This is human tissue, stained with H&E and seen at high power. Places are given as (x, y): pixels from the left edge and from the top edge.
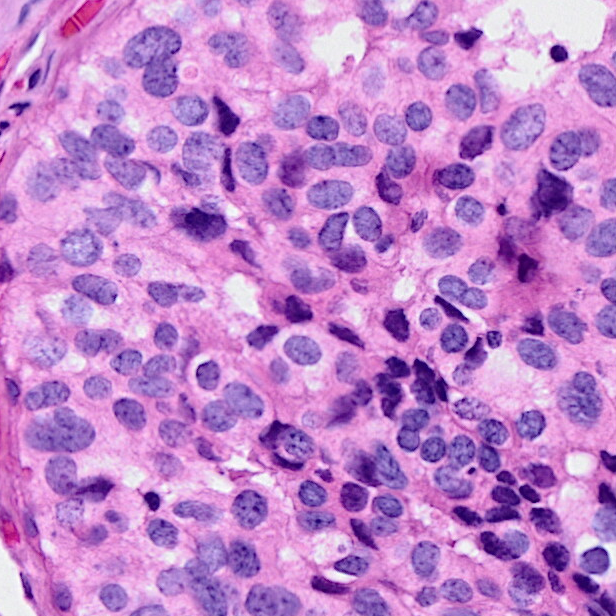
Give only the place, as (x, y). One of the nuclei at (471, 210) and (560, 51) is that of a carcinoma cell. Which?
(471, 210)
